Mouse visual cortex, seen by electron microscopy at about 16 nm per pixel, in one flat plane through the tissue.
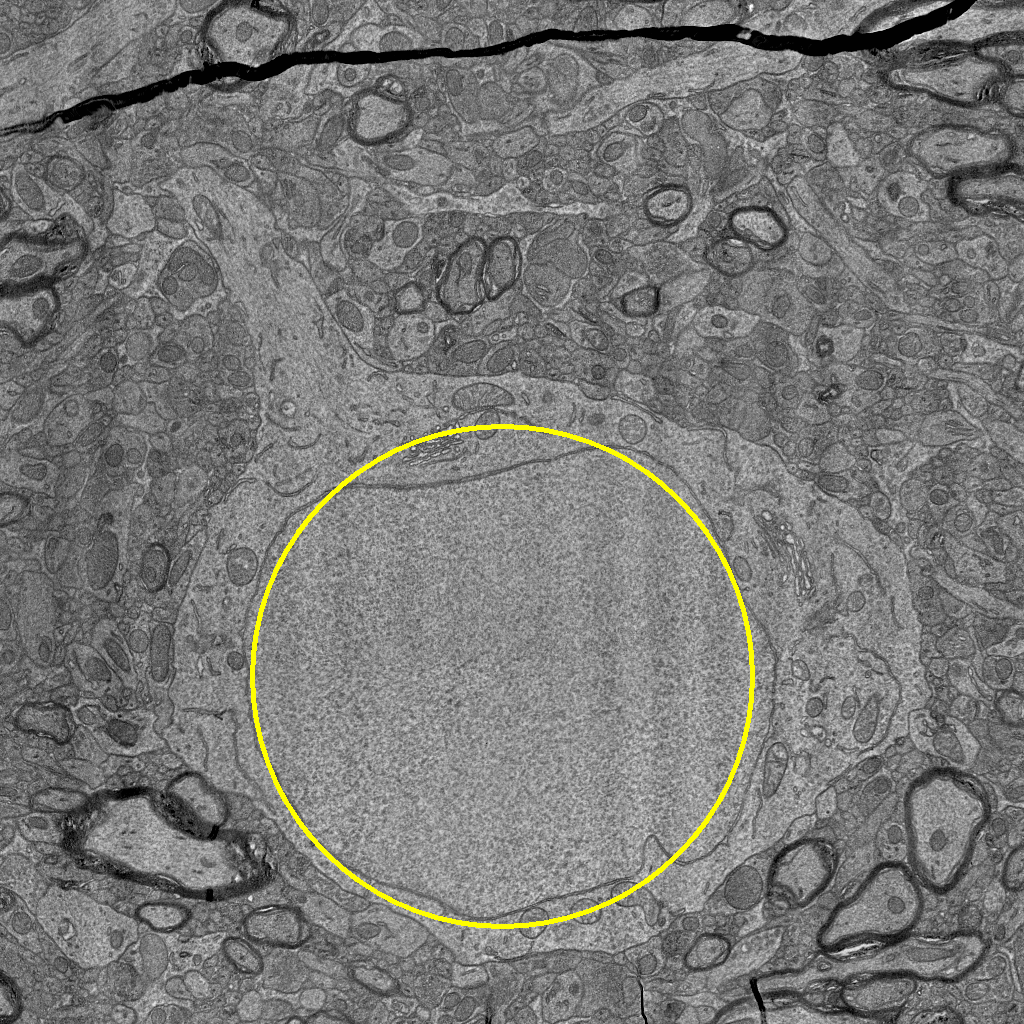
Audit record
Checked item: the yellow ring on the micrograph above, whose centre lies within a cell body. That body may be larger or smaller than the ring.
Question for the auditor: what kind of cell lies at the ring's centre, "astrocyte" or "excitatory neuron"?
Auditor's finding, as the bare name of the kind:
excitatory neuron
